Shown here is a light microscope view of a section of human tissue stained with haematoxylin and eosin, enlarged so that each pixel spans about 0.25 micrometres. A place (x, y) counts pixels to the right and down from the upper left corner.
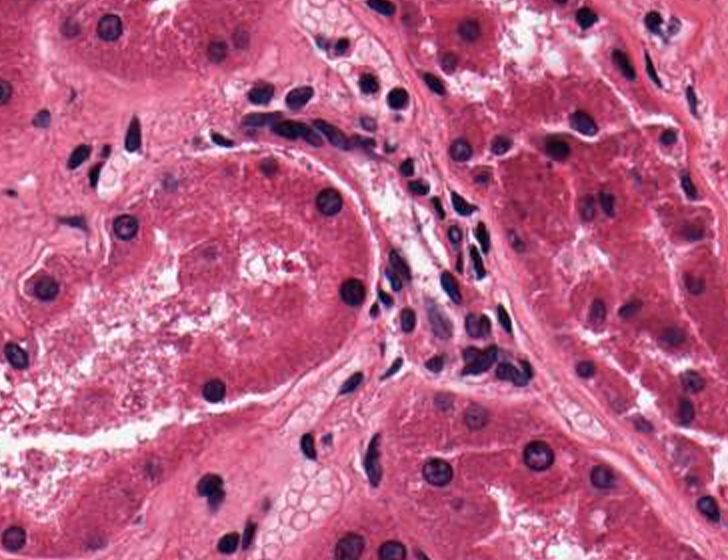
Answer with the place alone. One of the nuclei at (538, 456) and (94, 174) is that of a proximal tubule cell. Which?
(538, 456)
